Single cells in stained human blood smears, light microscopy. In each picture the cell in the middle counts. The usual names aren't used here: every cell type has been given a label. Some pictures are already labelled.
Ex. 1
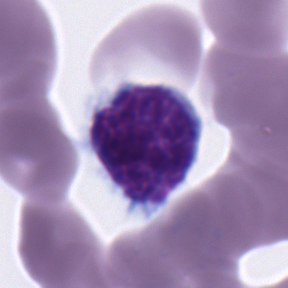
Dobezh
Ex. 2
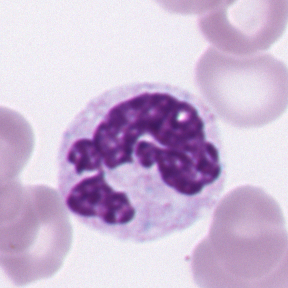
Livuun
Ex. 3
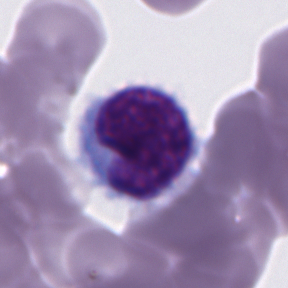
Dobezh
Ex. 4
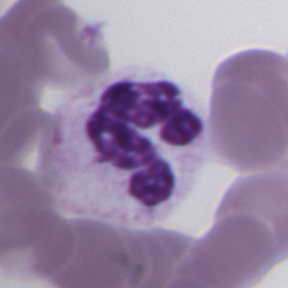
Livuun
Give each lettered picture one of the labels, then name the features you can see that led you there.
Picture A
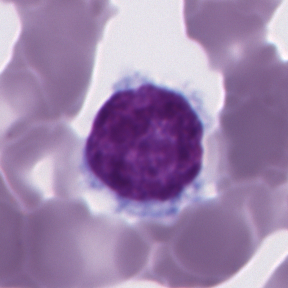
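Label: Dobezh. The cytoplasm forms only a thin rim around the nucleus.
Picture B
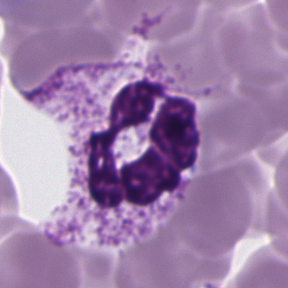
Label: Livuun. The ring of nucleus is made of four lobes.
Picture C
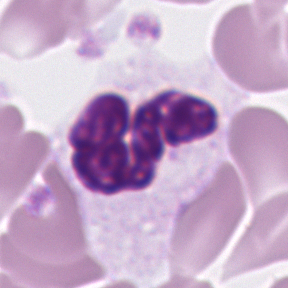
Label: Livuun. The nucleus forms two main dark masses lying side by side, the left one larger than the right.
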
